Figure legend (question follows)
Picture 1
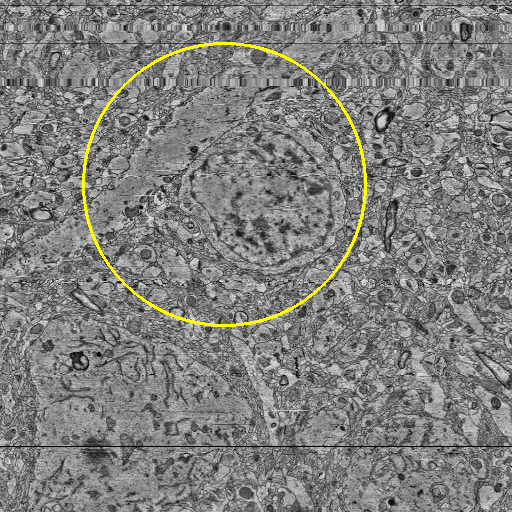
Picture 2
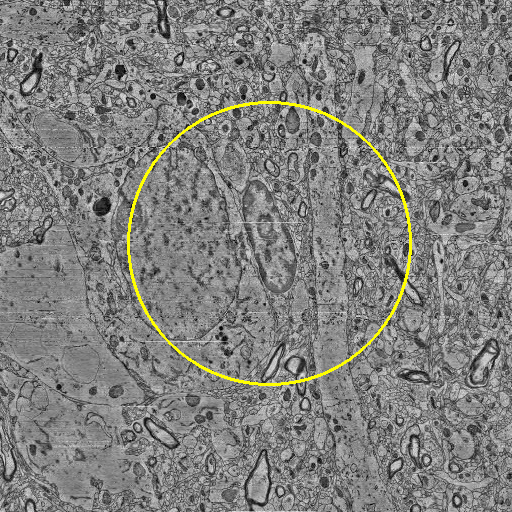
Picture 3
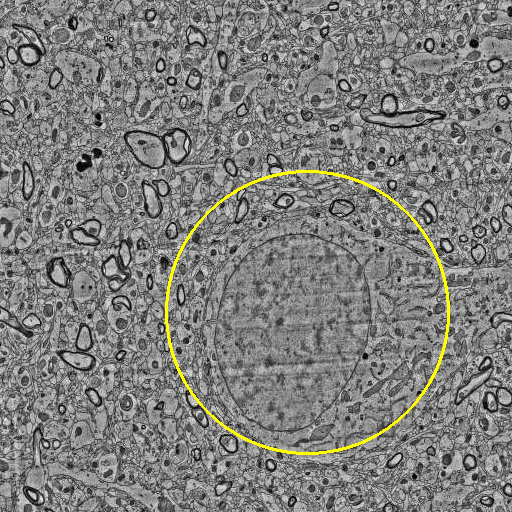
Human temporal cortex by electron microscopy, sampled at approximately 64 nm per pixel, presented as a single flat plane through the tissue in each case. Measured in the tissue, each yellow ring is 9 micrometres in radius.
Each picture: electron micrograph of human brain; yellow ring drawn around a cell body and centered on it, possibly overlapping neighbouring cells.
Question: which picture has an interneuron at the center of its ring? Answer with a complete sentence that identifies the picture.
Picture 1 has it at the center of its ring.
